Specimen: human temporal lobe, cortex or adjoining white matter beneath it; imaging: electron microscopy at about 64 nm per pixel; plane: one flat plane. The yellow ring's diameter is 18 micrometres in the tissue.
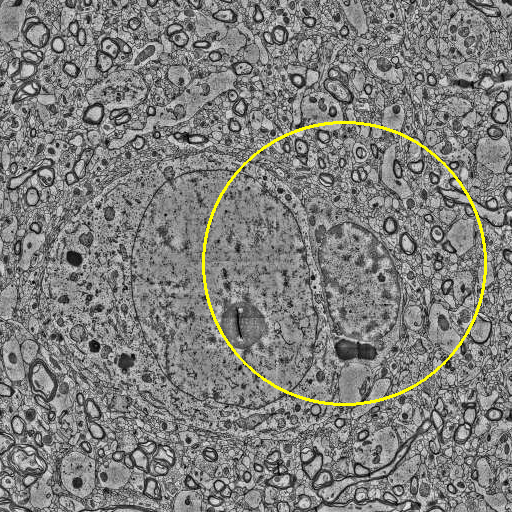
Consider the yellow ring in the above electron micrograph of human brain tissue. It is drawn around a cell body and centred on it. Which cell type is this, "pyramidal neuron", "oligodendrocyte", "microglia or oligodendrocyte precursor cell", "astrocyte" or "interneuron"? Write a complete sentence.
The cell in question is an oligodendrocyte.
